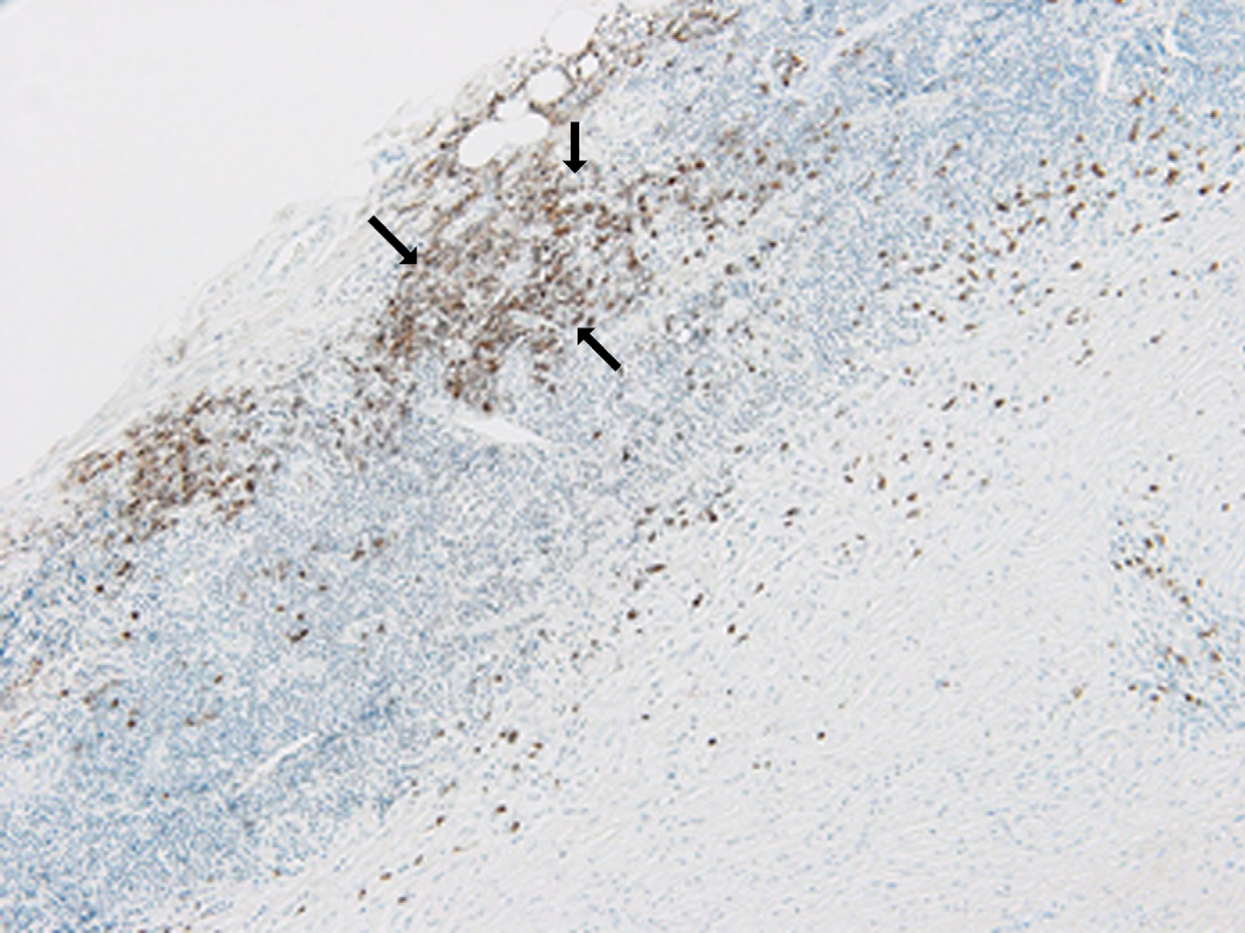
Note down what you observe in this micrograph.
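Near the outer edge, close to a few empty round fat spaces, the brown cells crowd together in a dense patch, and a second brown patch lies further along the edge. Away from these patches, brown cells are scattered singly among many small blue nuclei of other inflammatory cells. The lower right of the field is paler and less cellular, made of wavy pale fibres with few nuclei, the dense fibrous tissue in which the inflammation is set.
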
